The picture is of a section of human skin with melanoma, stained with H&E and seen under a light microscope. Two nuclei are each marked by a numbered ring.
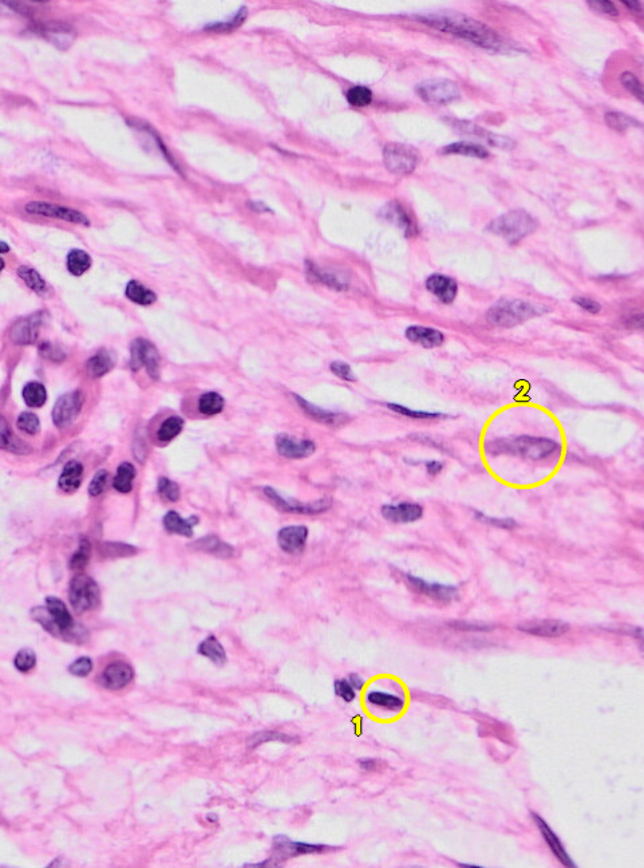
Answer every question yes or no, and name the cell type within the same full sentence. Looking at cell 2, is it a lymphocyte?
No, cell 2 is not a lymphocyte: it is a fibroblast or myofibroblast.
